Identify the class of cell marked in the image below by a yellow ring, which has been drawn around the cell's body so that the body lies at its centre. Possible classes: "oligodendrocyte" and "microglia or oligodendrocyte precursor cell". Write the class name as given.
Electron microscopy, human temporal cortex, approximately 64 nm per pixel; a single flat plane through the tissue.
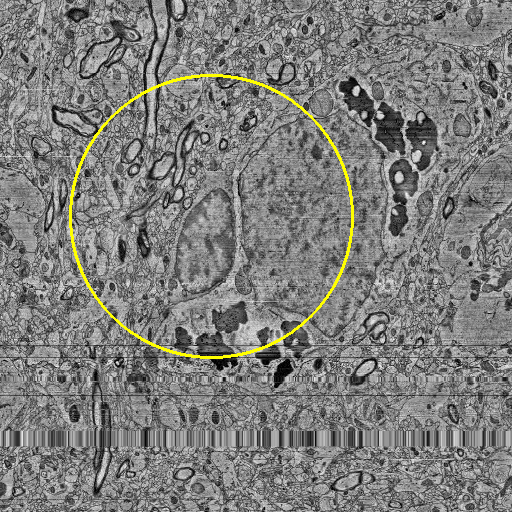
oligodendrocyte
